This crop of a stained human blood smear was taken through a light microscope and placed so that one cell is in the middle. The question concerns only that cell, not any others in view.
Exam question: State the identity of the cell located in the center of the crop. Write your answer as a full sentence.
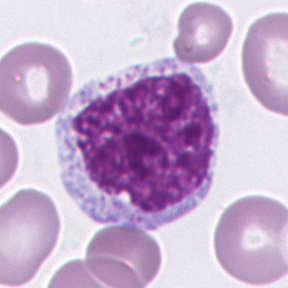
For this crop, the central cell is a myelocyte.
